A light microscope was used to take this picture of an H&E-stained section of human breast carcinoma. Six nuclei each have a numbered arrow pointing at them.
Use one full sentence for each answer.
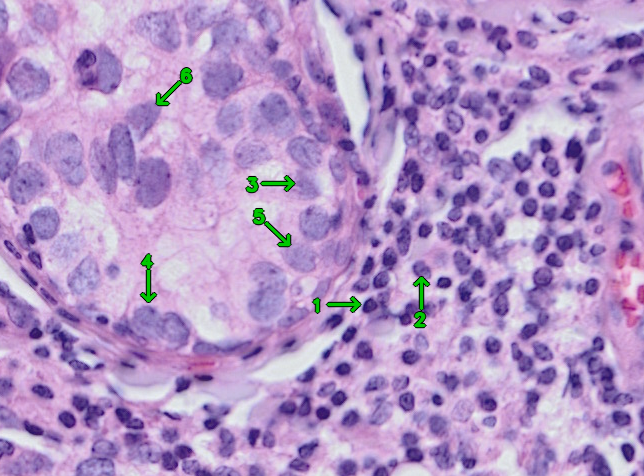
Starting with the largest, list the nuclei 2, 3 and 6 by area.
From largest to smallest, the order is 6, 3, 2.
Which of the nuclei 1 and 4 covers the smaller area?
Nucleus 1 is the smaller one; nucleus 4 covers about 3 times its area.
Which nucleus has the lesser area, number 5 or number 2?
Nucleus 2 covers less area, with nucleus 5 about 2.5 times as large.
